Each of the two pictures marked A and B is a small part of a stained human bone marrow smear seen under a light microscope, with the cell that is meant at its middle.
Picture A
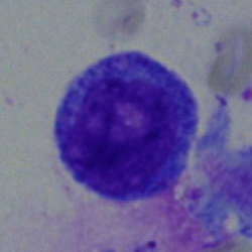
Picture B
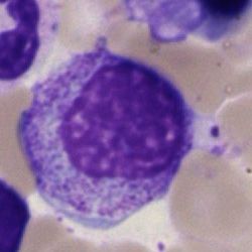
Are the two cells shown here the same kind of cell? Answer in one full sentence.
No; the cell in picture A is a promyelocyte, while the one in picture B is a myelocyte.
